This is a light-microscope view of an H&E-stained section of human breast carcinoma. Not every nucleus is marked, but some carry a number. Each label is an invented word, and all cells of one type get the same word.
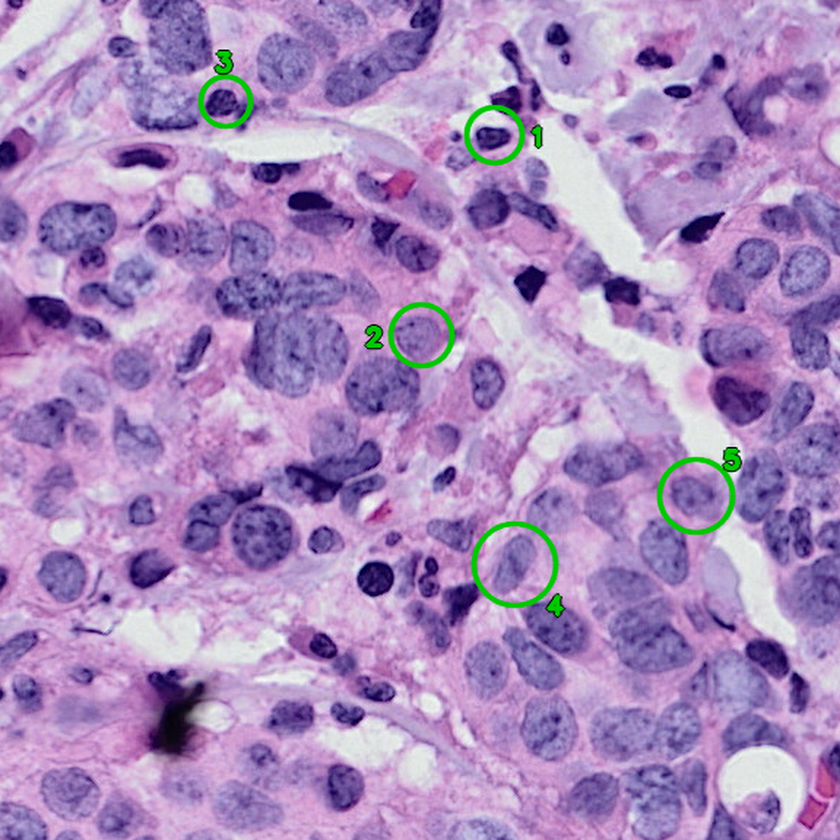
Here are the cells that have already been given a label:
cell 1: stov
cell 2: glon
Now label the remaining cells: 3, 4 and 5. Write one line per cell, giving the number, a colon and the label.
3: stov
4: glon
5: glon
